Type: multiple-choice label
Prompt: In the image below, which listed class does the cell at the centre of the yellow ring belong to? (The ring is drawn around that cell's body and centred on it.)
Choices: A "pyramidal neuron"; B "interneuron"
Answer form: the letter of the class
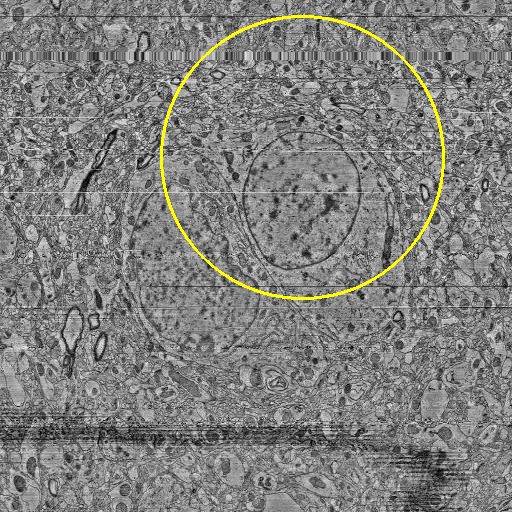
A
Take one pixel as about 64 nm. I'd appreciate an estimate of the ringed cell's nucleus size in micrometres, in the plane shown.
About 9 micrometres by about 7 micrometres in this plane.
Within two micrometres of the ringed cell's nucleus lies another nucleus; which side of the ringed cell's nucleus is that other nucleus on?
That other nucleus sits to the lower left of it.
